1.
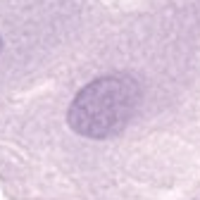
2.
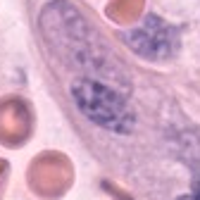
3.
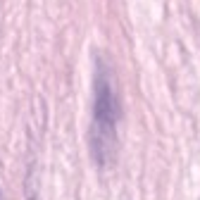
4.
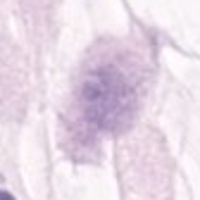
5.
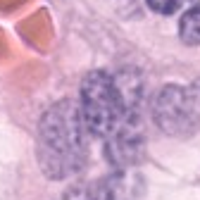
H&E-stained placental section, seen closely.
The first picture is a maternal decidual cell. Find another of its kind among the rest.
Picture 4.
